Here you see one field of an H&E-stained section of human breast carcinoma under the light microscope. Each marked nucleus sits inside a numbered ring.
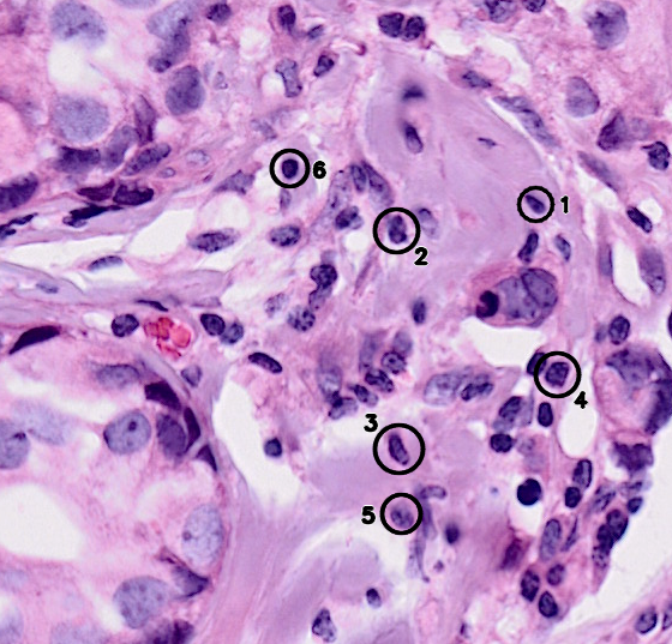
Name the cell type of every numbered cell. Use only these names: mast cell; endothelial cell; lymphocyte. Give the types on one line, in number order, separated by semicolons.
lymphocyte; lymphocyte; mast cell; lymphocyte; mast cell; lymphocyte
